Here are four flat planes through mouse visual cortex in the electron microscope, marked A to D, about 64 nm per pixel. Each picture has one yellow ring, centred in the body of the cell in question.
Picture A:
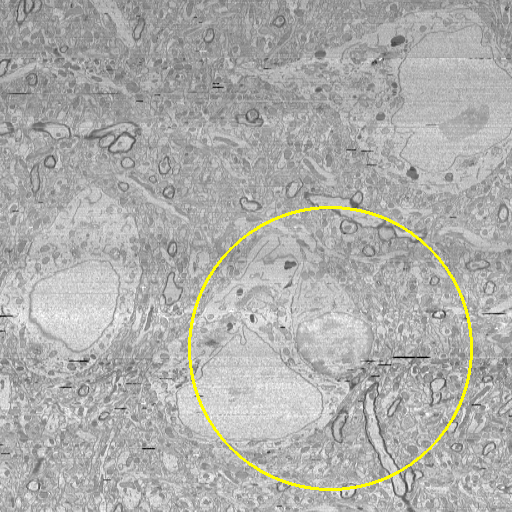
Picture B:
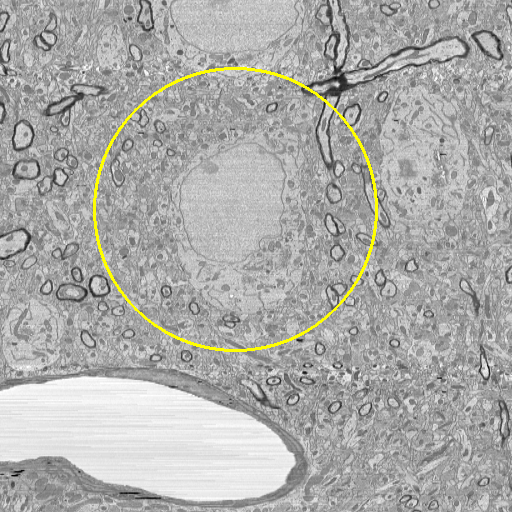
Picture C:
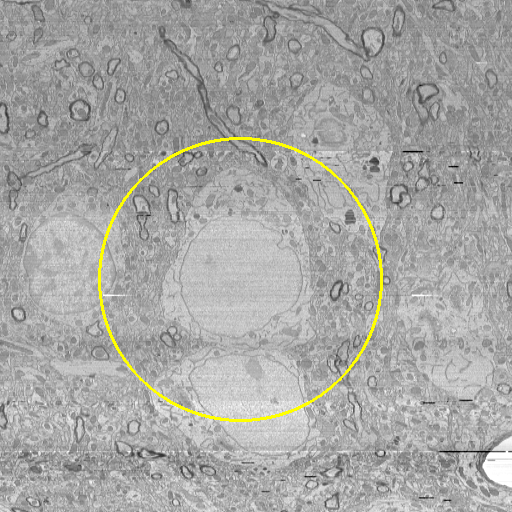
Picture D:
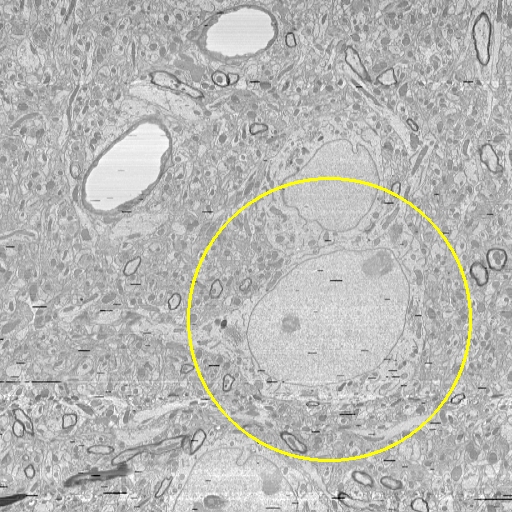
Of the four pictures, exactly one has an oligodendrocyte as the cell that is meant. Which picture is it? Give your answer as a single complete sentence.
The picture with the oligodendrocyte is A.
